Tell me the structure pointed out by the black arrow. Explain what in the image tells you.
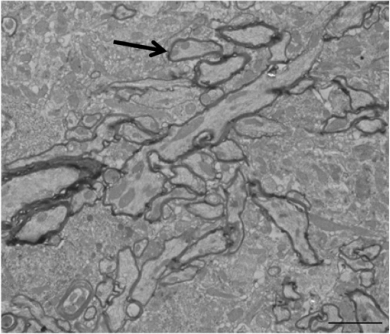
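Myelinated axons. The arrow points to an axon profile surrounded by a dark ring. The axon interior is pale and even.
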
